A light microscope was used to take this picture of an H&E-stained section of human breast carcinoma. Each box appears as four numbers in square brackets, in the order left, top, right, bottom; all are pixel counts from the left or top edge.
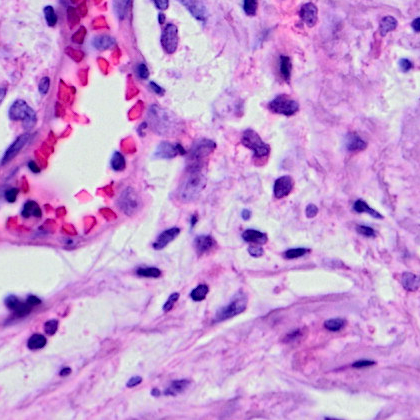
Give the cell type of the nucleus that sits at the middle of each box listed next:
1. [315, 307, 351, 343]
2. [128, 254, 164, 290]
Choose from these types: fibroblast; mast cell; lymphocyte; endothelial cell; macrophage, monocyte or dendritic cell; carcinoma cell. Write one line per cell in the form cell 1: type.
cell 1: mast cell
cell 2: lymphocyte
